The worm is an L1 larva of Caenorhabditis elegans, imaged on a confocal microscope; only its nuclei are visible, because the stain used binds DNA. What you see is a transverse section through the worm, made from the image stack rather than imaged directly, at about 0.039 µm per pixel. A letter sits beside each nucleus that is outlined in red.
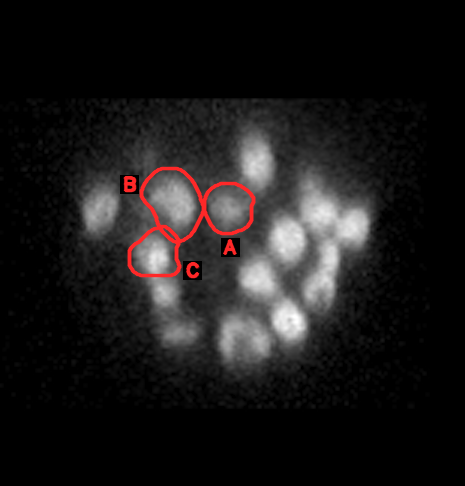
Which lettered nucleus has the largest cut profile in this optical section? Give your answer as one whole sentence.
Of the marked nuclei, B is the biggest in this section.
